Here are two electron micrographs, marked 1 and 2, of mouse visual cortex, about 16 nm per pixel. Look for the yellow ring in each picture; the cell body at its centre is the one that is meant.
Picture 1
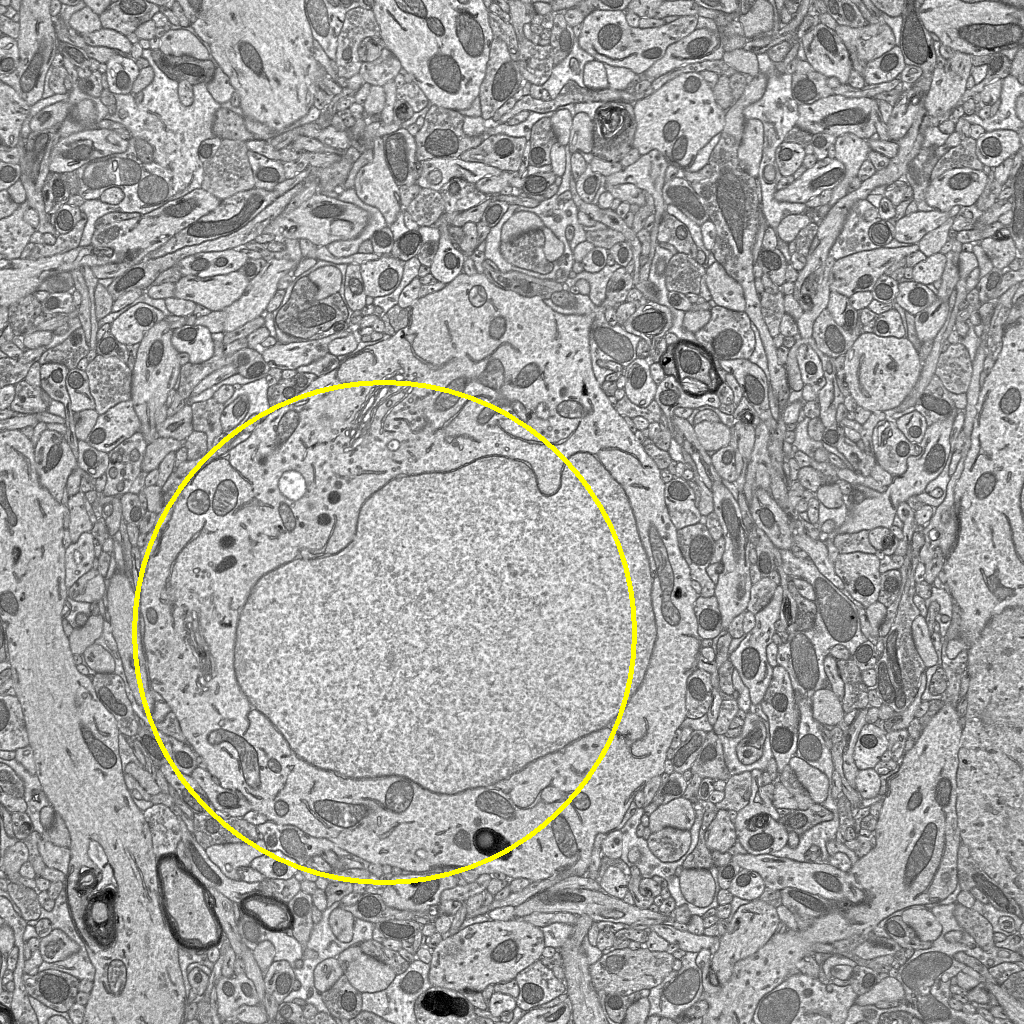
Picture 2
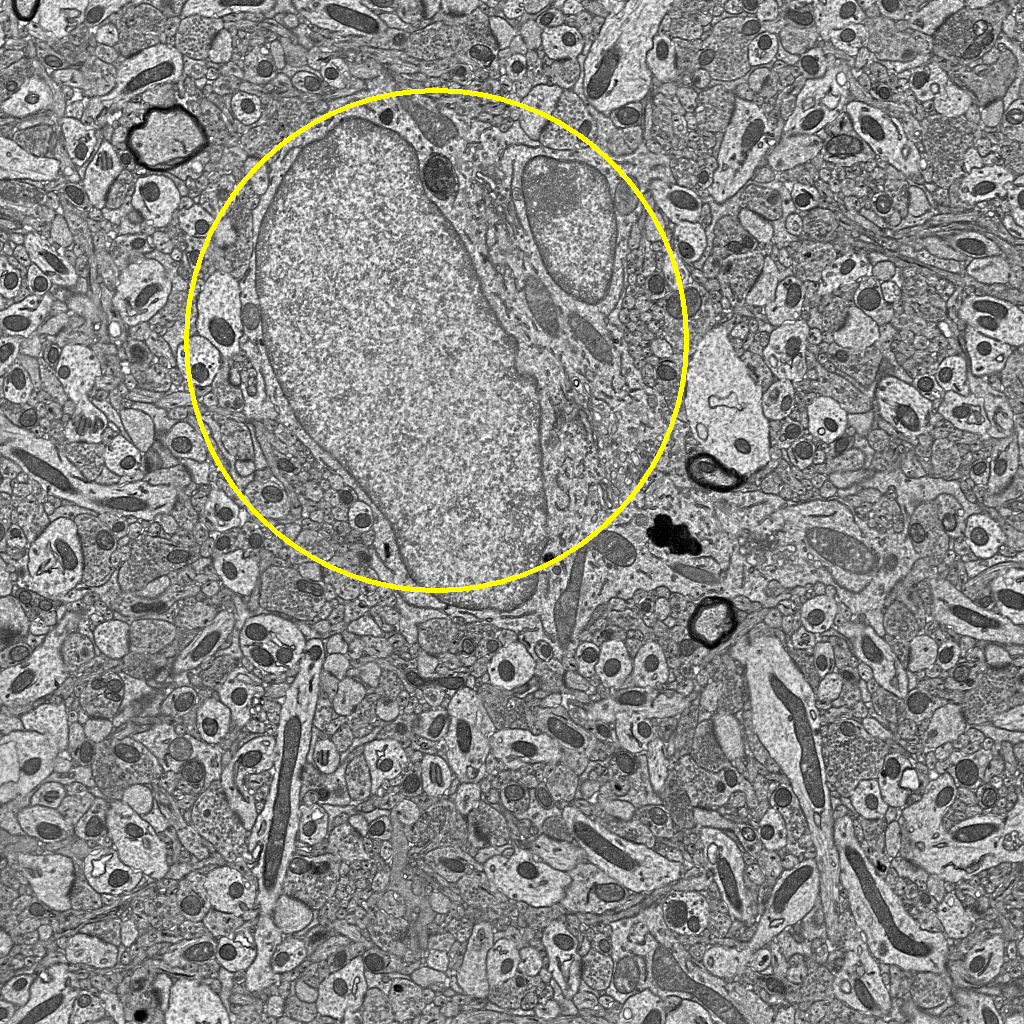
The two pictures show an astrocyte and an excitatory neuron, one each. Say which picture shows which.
Picture 1 is of an excitatory neuron, and picture 2 is of an astrocyte.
